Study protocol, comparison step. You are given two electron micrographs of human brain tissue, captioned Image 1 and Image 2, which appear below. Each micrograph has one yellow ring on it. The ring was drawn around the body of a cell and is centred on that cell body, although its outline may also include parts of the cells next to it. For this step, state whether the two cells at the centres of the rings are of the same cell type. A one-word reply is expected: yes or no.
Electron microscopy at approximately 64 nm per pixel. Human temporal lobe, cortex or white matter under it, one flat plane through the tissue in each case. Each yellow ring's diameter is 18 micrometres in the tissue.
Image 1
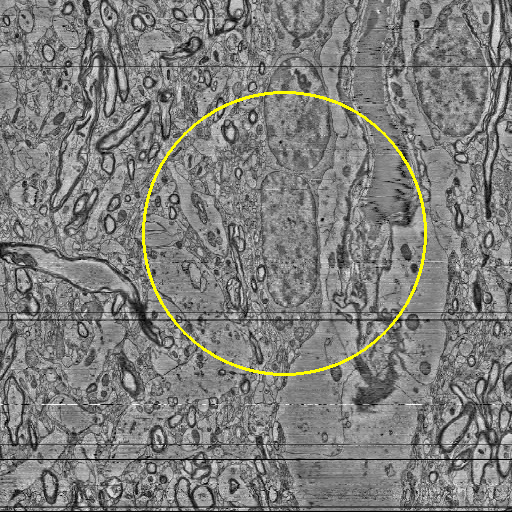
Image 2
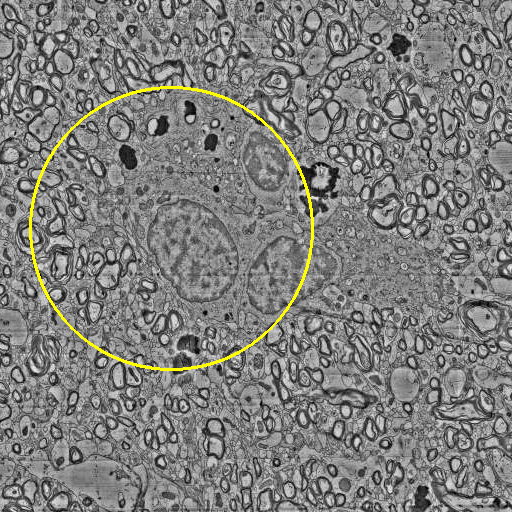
yes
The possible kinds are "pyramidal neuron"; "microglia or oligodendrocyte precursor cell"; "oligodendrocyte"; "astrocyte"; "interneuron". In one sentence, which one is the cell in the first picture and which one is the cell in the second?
Each cell at the centre of a ring is an oligodendrocyte.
